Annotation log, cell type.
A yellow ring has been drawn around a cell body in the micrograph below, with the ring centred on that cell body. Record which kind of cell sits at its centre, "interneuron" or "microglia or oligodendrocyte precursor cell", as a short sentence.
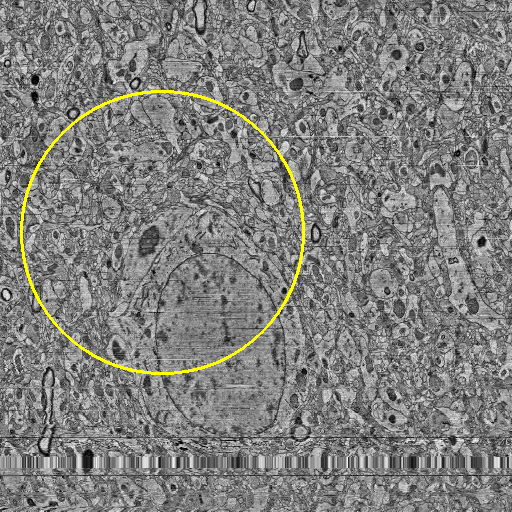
The cell at the centre of this ring is a microglial cell or oligodendrocyte precursor cell.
